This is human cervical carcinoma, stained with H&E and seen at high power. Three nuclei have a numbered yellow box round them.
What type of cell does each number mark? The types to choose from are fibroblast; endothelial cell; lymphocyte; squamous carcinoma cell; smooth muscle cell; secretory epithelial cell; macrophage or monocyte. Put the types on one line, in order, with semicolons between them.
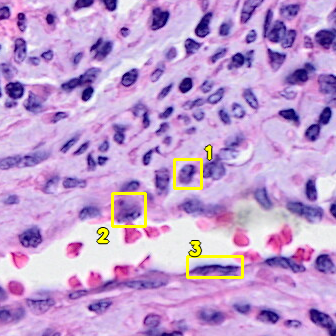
lymphocyte; endothelial cell; endothelial cell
